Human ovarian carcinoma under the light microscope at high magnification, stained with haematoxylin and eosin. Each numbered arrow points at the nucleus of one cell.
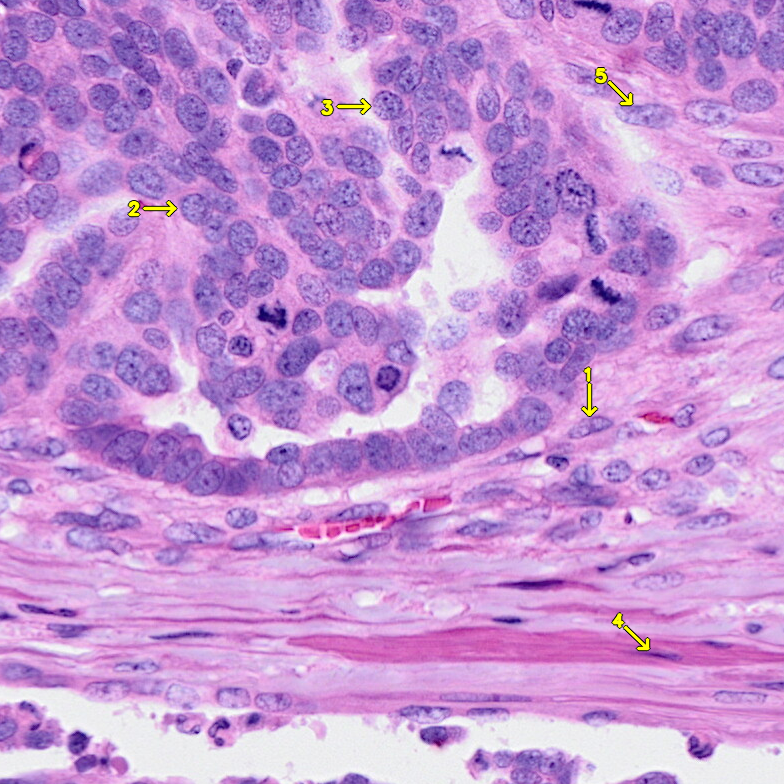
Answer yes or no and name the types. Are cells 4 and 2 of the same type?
No, by type, cell 4 is a smooth muscle cell and cell 2 is a carcinoma cell.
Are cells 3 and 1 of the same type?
No, cell 1 is a fibroblast, while cell 3 is a carcinoma cell.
